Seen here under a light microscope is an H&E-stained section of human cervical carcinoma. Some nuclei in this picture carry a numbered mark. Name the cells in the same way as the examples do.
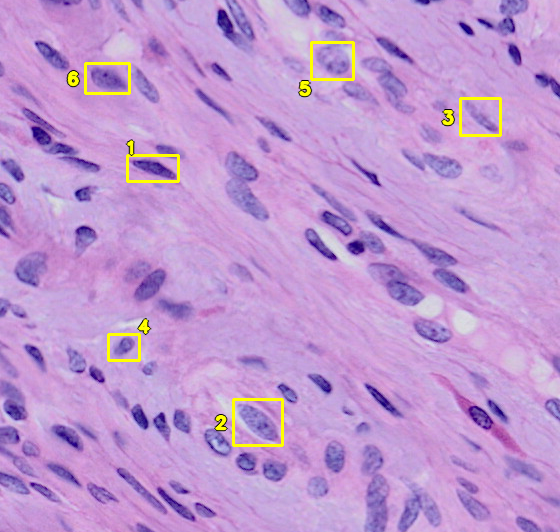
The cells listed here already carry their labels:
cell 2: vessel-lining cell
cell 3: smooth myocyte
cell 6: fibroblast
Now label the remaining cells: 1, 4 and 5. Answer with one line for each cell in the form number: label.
1: fibroblast
4: fibroblast
5: vessel-lining cell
